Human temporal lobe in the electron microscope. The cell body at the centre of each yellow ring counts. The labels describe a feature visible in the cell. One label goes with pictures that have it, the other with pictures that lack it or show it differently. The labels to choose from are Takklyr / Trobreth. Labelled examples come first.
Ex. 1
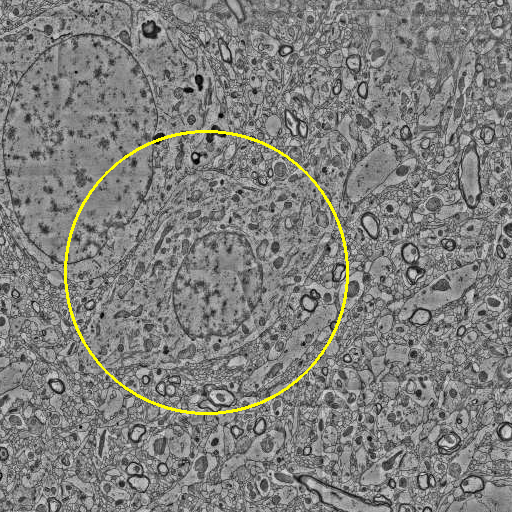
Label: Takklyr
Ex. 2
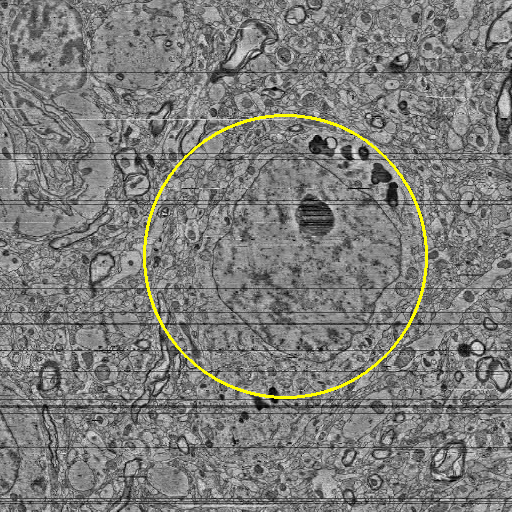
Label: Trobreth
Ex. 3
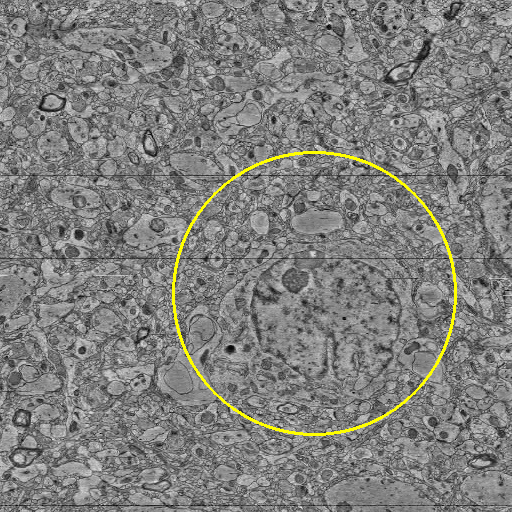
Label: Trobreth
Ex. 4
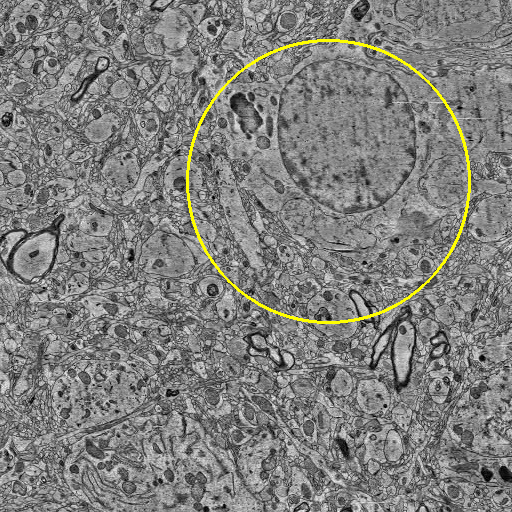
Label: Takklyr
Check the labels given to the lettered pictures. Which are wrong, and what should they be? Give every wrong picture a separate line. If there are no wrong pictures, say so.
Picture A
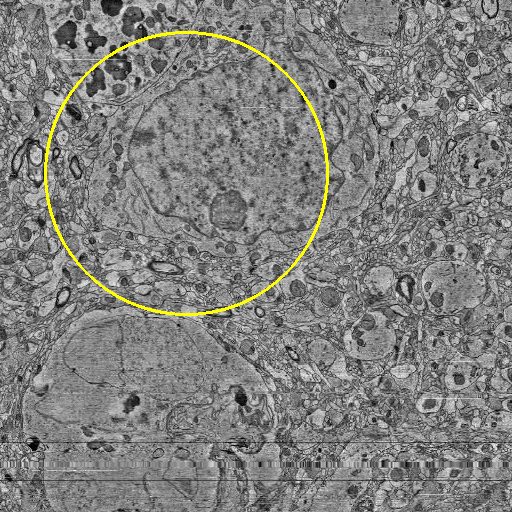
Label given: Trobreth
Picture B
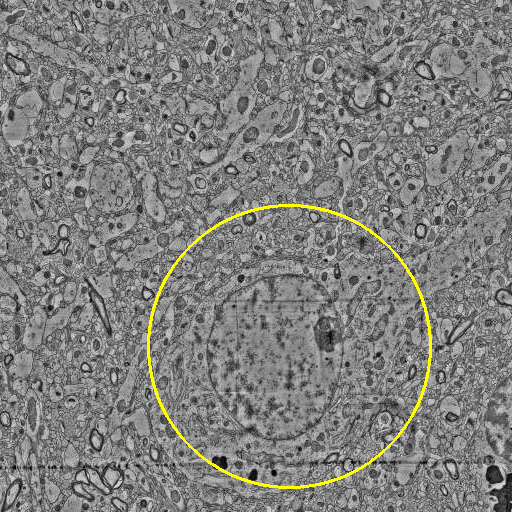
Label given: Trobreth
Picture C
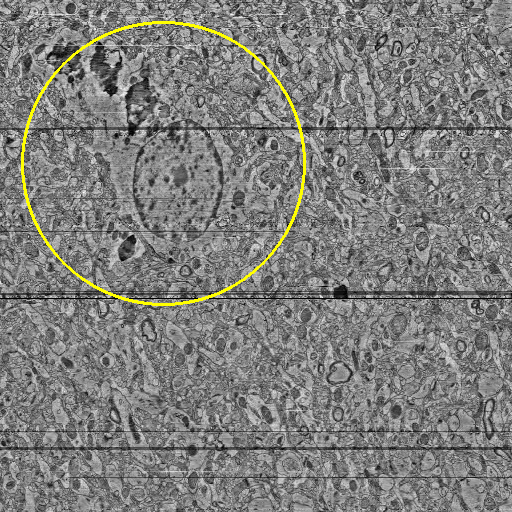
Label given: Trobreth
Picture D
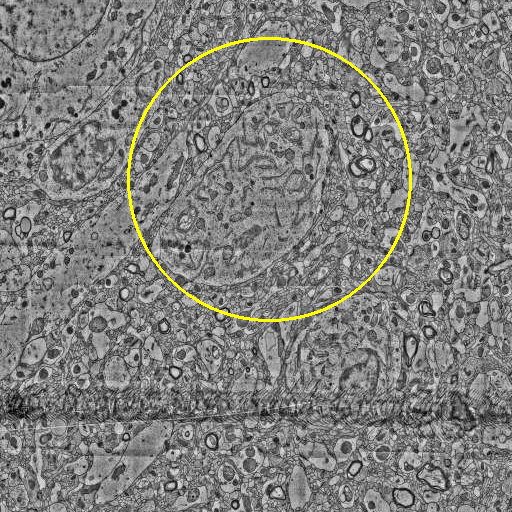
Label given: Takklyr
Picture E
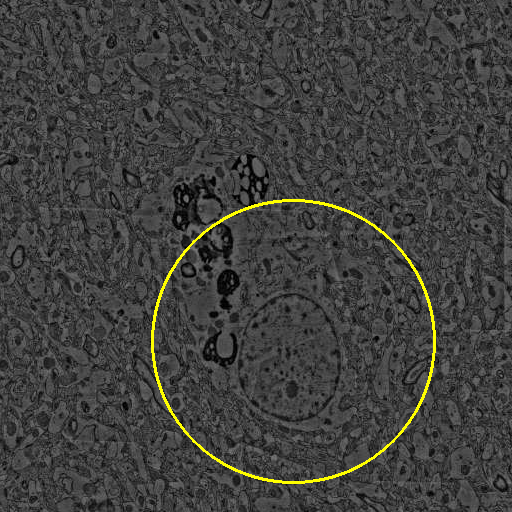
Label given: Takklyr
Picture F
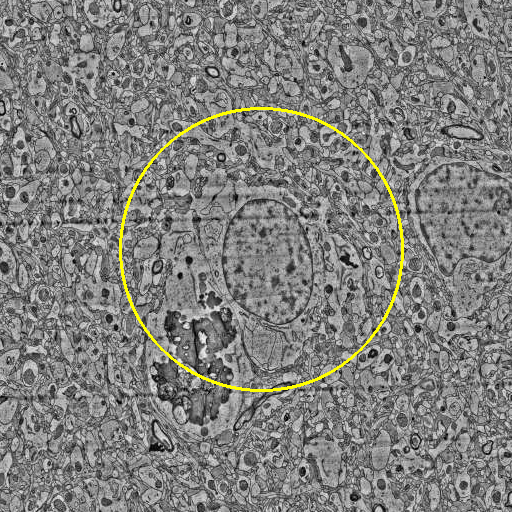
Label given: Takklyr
E: change Takklyr to Trobreth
